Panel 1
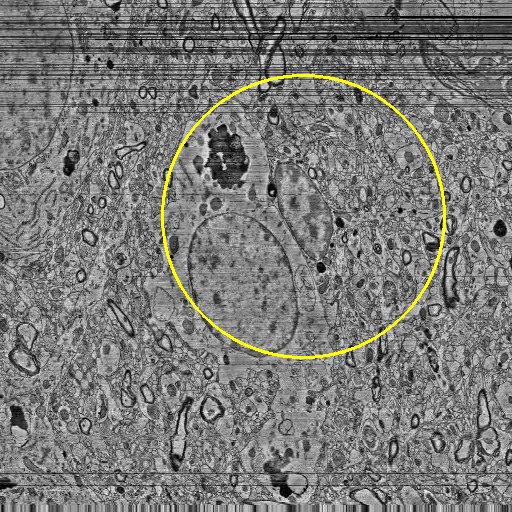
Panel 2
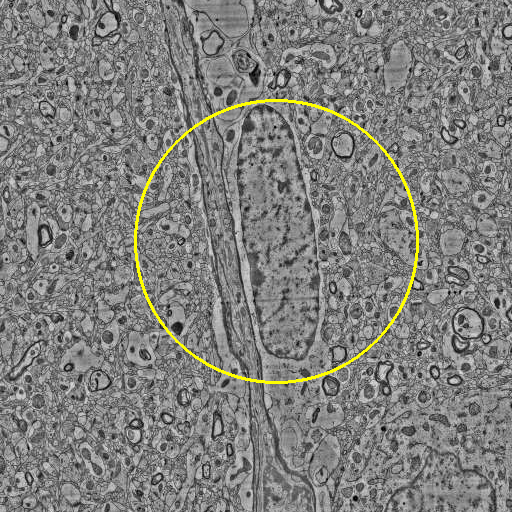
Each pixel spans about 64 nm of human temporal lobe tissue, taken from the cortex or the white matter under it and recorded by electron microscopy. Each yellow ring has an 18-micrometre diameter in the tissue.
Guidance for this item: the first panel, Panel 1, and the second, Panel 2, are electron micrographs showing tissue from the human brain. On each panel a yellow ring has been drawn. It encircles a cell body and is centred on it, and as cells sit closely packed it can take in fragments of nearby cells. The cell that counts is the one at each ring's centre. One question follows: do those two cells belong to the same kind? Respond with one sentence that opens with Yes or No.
Yes, the cells at the ring centres in Panel 1 and Panel 2 are of one kind.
